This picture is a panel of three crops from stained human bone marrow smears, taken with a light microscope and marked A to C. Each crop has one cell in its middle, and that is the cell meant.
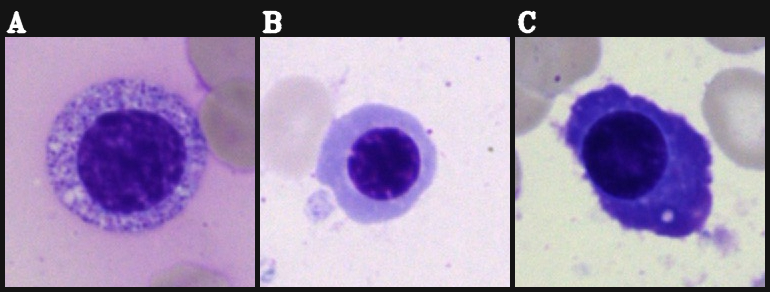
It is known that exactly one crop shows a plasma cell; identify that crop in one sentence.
Identified crop: C, the one that shows a plasma cell.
